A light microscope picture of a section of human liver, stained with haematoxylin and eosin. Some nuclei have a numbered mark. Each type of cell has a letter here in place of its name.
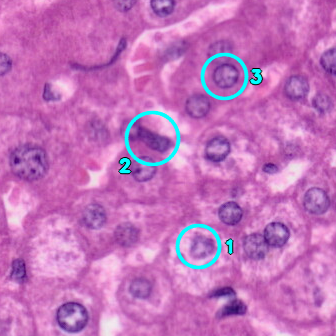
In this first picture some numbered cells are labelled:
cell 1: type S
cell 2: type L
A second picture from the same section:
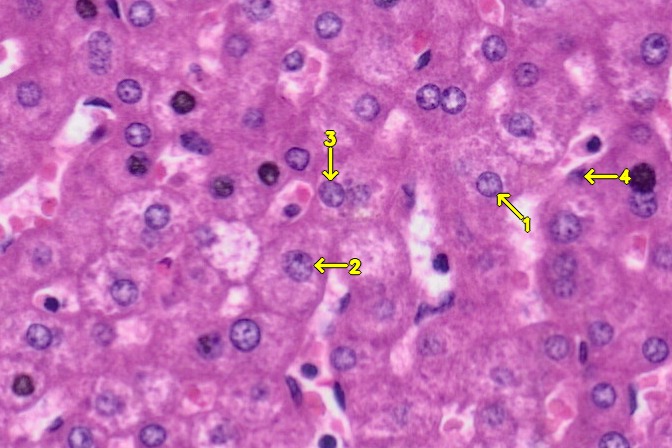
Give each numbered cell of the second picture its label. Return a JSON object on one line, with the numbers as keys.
{"1": "type S", "2": "type S", "3": "type S", "4": "type L"}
